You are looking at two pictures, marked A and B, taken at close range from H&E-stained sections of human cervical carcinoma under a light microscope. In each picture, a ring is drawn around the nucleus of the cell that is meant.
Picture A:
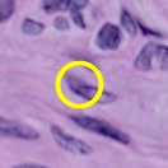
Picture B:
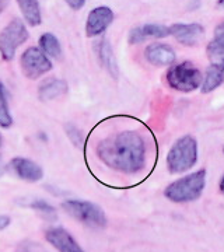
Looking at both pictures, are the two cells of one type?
no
